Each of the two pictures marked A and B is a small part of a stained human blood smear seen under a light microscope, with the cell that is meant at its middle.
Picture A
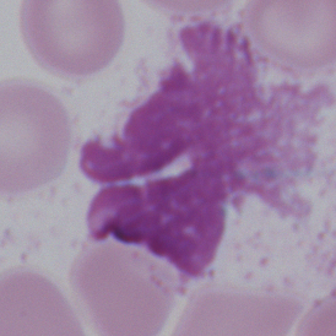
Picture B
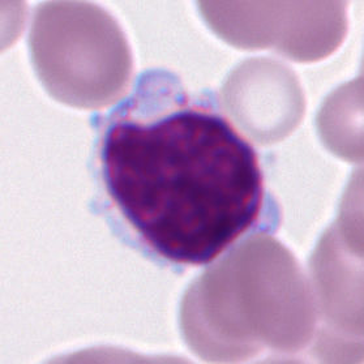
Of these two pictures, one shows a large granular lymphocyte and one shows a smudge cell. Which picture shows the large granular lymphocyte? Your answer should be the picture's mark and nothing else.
B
